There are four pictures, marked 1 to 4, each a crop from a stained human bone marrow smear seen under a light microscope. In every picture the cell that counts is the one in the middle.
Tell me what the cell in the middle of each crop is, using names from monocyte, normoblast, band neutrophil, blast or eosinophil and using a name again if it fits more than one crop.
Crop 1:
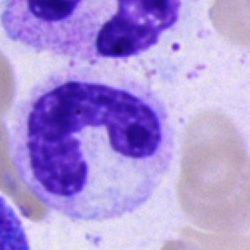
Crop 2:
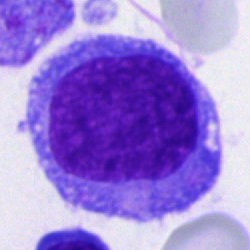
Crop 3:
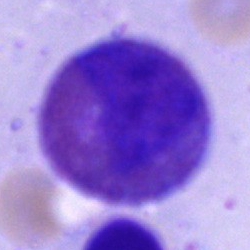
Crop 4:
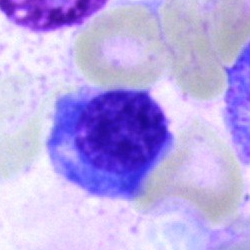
1: band neutrophil
2: blast
3: eosinophil
4: normoblast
